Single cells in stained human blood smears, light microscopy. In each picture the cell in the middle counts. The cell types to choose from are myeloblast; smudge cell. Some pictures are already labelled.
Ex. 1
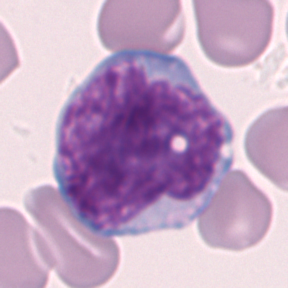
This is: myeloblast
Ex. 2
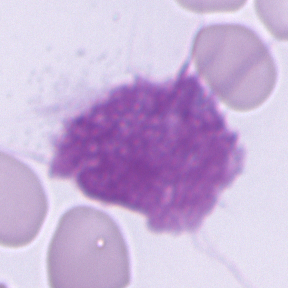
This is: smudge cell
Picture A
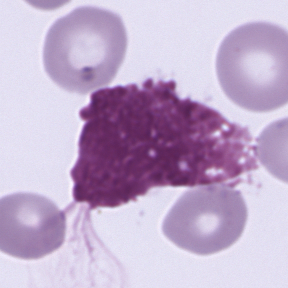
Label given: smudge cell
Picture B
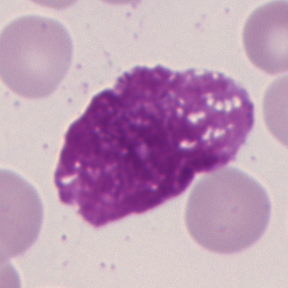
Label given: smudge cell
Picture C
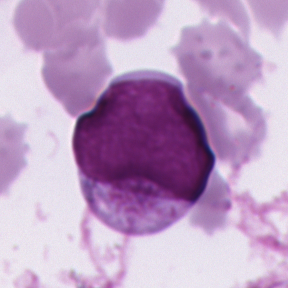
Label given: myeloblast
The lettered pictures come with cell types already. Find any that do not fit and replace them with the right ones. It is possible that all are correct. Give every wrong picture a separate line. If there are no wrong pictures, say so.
Every label is right.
